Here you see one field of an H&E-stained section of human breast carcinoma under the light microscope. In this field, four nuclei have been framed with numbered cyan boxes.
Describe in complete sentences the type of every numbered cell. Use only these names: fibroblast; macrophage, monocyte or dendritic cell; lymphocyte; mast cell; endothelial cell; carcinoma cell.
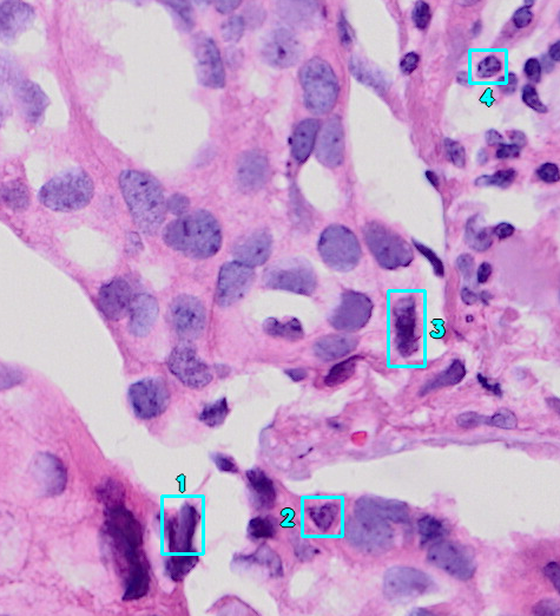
Cells 1, 2 and 3 are carcinoma cells. Cell 4 is a lymphocyte.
